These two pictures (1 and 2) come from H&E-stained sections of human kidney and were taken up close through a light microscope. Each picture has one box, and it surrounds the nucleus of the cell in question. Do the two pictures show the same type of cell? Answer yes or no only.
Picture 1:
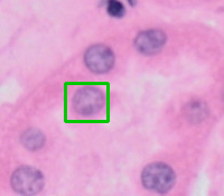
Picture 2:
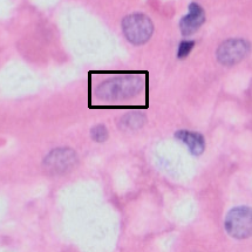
yes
